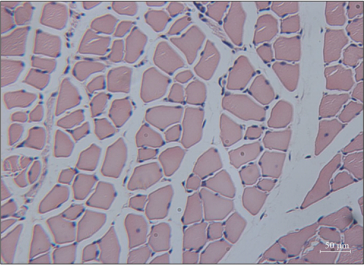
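Cross-section of skeletal muscle with numerous small muscle fibers cut transversely as pink polygonal profiles. The fibers are densely packed, many of them small and angular. Dark blue nuclei lie at the edges of the fibers and appear numerous relative to fiber size. Bundles of fibers are separated by pale bluish bands of intervening space. The pink cytoplasm is uniformly stained.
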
